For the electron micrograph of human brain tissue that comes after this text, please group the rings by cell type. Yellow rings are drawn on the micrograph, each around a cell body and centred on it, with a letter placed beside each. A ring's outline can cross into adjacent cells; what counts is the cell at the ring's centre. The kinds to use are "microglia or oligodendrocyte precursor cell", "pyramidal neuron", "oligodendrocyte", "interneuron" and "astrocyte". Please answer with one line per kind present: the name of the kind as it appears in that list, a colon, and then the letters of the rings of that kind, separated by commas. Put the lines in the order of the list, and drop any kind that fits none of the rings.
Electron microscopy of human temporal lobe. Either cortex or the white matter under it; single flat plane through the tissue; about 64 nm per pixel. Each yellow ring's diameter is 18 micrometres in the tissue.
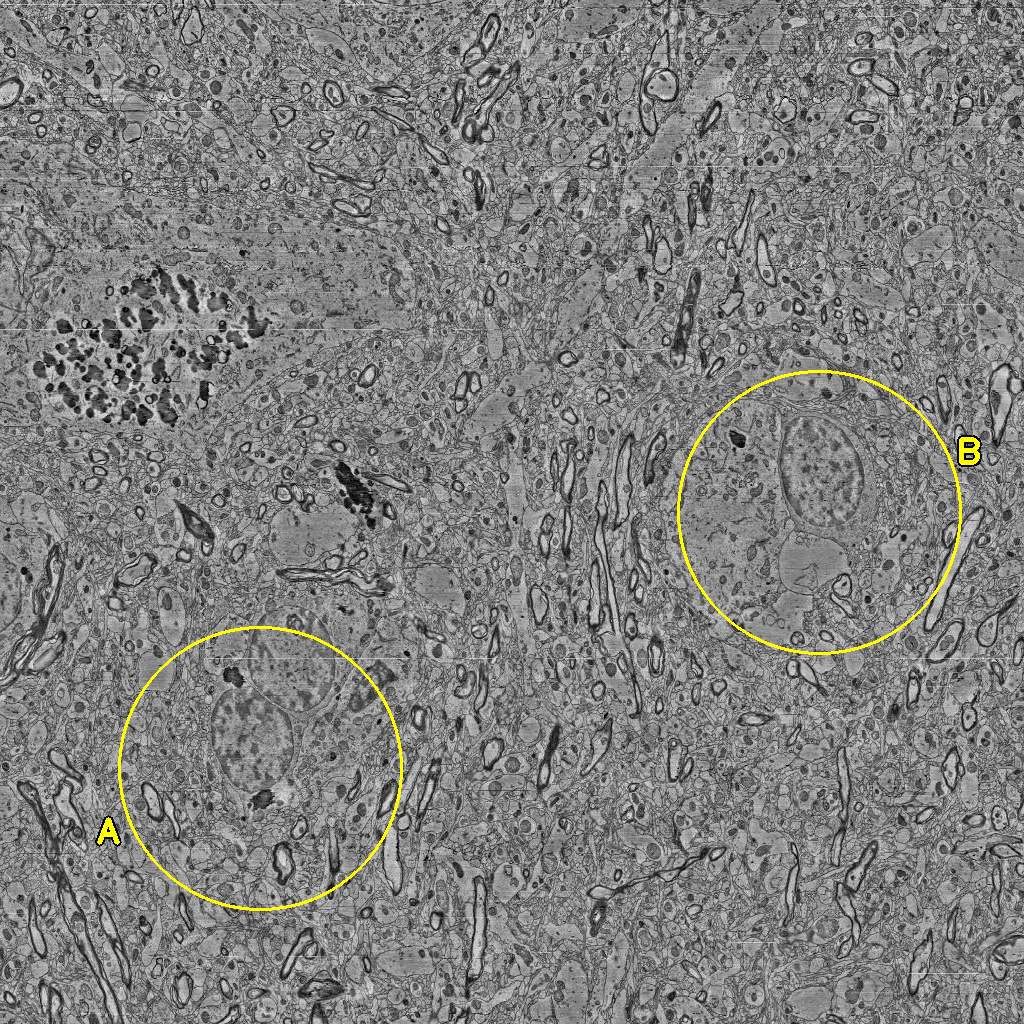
oligodendrocyte: A, B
